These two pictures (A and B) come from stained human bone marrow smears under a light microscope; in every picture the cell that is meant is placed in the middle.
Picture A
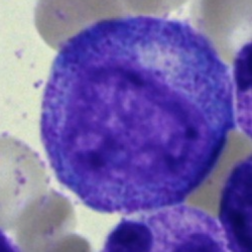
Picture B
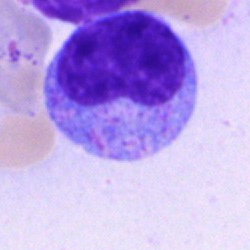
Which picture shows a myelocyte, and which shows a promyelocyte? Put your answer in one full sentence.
Picture B shows a myelocyte, while picture A shows a promyelocyte.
